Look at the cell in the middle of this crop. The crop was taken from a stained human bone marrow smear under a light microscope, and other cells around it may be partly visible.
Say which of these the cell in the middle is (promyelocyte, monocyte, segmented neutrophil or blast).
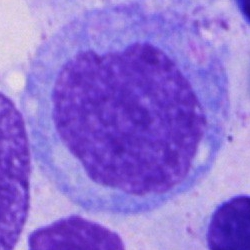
monocyte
